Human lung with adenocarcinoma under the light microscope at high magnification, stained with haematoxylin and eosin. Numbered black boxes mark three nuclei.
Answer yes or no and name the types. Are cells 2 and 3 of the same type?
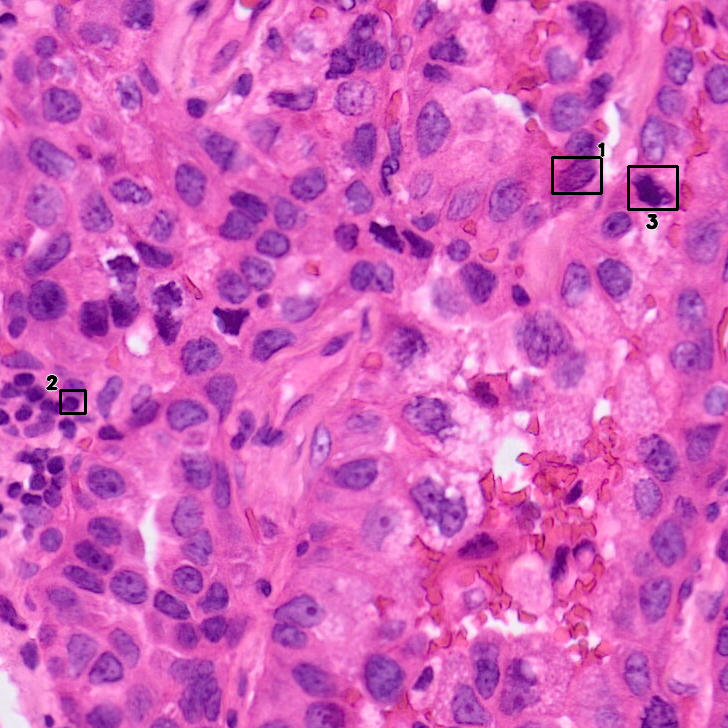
No, cell 2 is a lymphocyte, whereas cell 3, for its part, is a carcinoma cell.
